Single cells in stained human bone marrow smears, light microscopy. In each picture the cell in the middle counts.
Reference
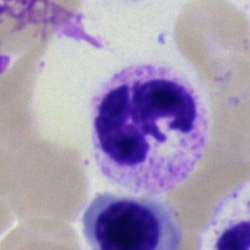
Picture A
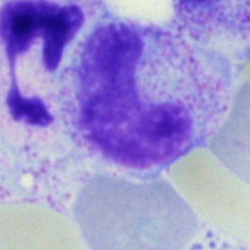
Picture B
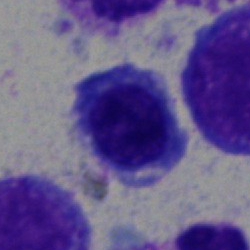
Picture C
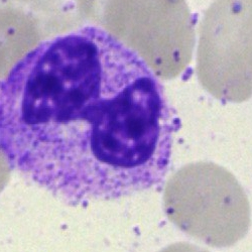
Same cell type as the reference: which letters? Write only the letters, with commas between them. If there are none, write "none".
C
